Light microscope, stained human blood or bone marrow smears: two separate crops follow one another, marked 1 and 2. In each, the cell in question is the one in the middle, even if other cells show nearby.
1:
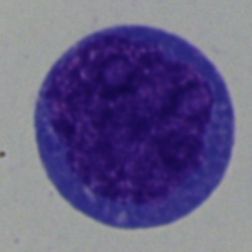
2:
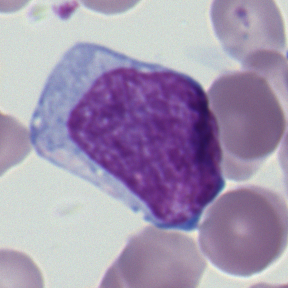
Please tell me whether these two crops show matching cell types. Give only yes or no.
yes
